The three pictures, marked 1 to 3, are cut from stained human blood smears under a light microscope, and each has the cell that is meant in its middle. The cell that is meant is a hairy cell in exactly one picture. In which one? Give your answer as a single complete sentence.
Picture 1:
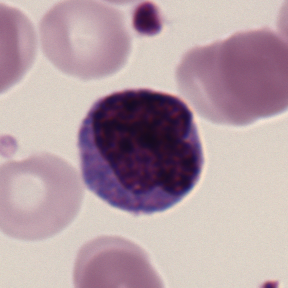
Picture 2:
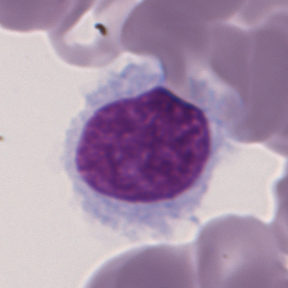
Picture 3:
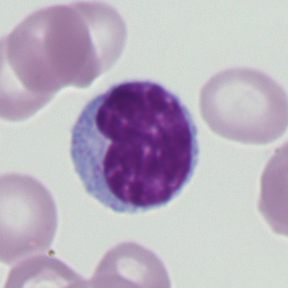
It is picture 2 that shows the hairy cell.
